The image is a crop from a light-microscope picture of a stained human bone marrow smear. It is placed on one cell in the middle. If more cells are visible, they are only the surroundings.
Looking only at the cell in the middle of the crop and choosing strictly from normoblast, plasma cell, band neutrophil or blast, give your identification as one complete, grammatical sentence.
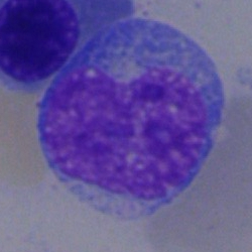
The cell in the exact centre of the crop is a blast.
